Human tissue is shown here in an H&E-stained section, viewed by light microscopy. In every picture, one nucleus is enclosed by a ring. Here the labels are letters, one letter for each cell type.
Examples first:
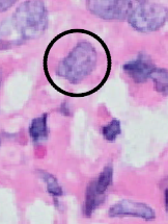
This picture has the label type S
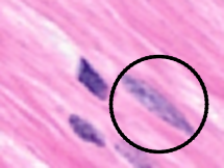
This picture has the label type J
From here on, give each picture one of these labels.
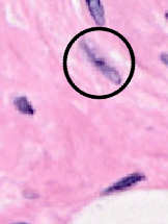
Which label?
type J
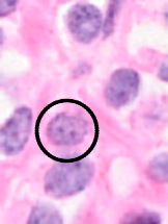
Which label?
type S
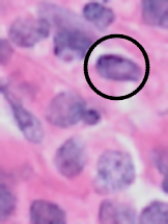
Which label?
type S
